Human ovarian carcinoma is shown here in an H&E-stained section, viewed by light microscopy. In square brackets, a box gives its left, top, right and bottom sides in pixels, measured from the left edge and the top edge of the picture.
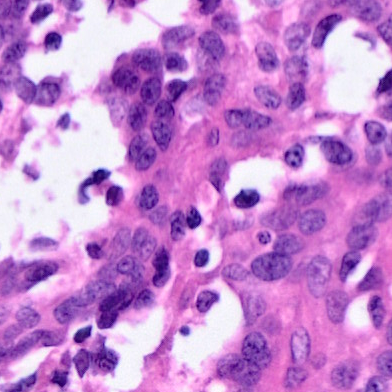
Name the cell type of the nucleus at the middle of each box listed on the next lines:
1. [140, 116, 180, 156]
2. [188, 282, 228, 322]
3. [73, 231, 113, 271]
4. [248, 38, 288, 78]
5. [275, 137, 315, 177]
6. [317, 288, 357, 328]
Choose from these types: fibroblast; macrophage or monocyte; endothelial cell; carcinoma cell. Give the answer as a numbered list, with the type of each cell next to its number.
1. carcinoma cell
2. macrophage or monocyte
3. carcinoma cell
4. macrophage or monocyte
5. macrophage or monocyte
6. carcinoma cell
